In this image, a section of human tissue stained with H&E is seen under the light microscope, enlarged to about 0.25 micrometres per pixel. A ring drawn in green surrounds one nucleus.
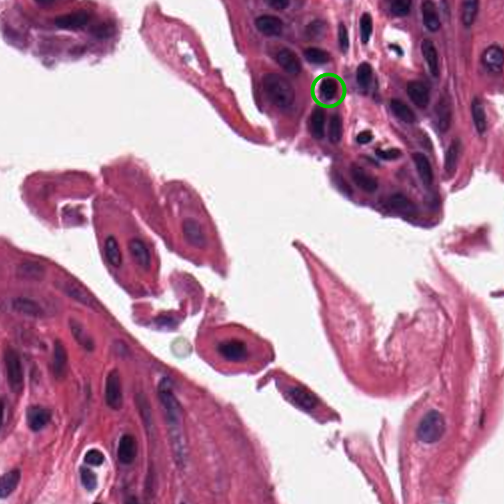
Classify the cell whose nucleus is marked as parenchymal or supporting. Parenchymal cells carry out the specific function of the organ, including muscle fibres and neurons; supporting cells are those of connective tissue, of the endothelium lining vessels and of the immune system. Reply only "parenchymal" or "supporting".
supporting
